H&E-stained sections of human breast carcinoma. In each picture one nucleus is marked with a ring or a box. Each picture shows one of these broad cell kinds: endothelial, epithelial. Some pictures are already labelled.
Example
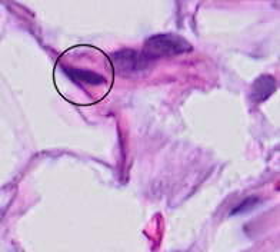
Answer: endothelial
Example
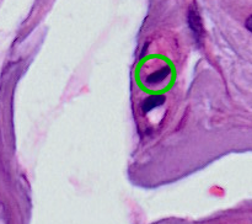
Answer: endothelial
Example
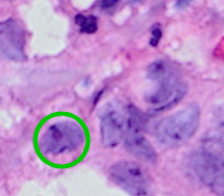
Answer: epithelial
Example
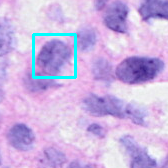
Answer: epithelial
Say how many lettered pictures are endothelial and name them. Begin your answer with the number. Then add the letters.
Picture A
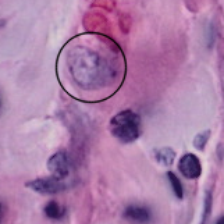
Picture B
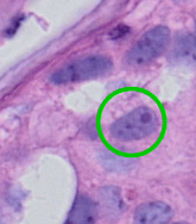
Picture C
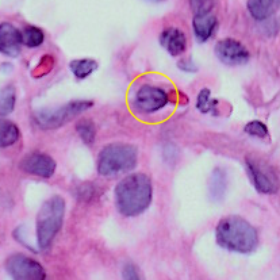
2, namely A, C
